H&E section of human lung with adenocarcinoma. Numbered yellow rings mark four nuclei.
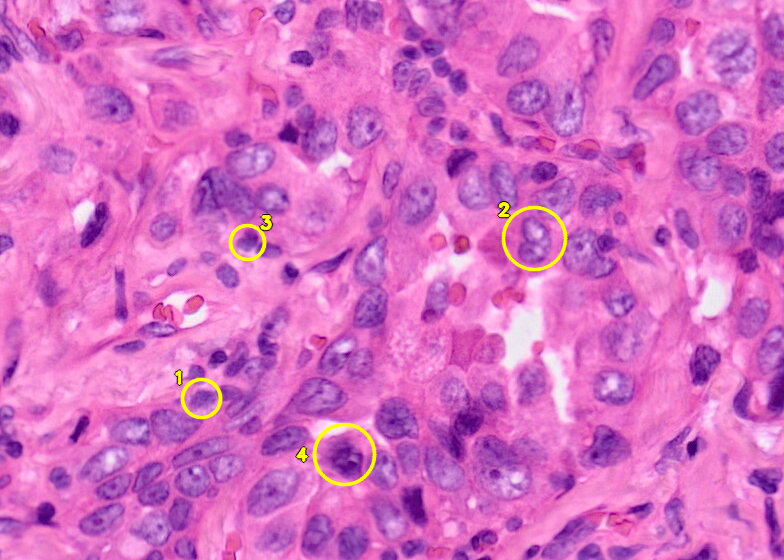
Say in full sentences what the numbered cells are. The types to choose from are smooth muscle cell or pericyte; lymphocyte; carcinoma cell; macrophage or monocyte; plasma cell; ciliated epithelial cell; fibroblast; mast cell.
Cell 1 is a lymphocyte, cell 2 is a carcinoma cell, cell 3 is a lymphocyte and cell 4 is a carcinoma cell.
